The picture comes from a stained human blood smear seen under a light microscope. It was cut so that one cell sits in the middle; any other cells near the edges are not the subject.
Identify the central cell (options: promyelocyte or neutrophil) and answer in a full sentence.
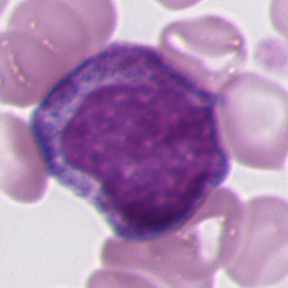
As for the cell in the middle, it is a promyelocyte.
